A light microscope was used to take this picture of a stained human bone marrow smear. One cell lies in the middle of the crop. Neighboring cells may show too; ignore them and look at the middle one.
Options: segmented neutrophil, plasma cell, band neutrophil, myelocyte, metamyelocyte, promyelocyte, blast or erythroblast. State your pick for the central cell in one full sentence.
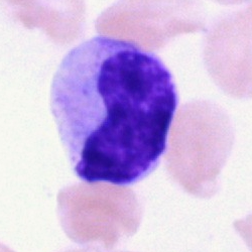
Answering briefly, the cell in the middle is a metamyelocyte.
